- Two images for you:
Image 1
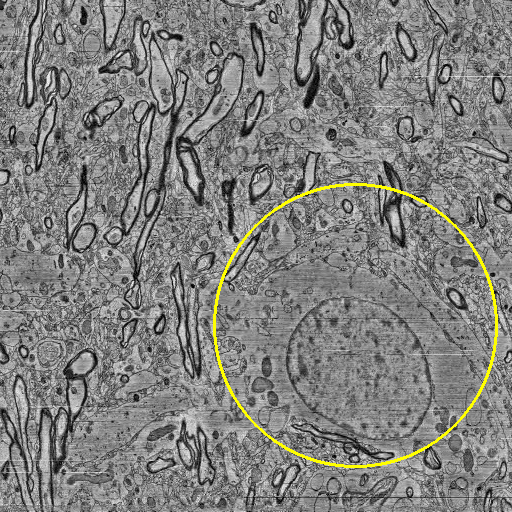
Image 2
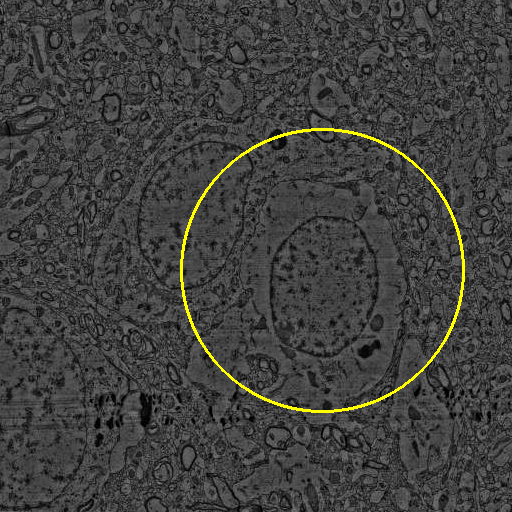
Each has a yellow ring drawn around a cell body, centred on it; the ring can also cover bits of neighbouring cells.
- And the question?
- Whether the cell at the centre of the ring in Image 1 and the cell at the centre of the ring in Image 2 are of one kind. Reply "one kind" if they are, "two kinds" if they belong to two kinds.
one kind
